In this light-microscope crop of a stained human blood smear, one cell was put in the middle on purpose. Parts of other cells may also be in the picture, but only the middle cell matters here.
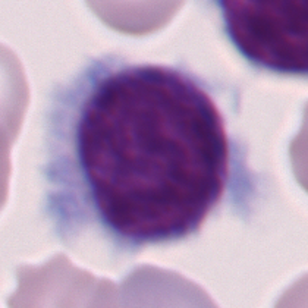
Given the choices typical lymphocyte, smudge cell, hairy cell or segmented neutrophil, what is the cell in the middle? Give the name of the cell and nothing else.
hairy cell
